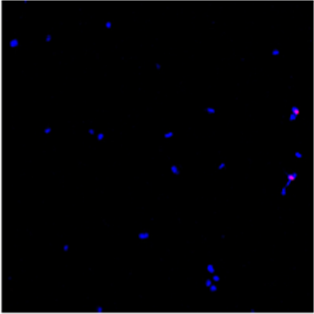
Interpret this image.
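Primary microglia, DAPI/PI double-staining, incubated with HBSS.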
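Small, bright blue, round to oval nuclei are scattered singly or in small clusters across a dark field, far smaller than the field. Cytoplasm and processes are not shown.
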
